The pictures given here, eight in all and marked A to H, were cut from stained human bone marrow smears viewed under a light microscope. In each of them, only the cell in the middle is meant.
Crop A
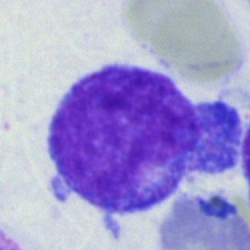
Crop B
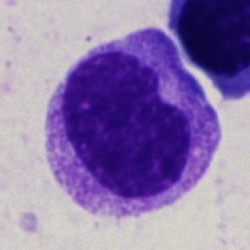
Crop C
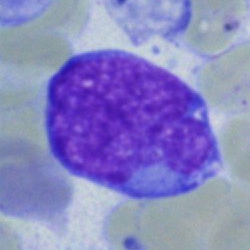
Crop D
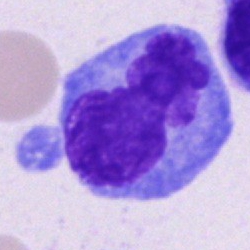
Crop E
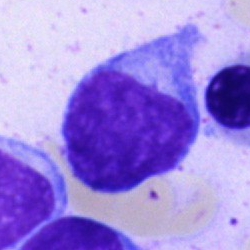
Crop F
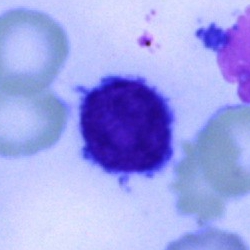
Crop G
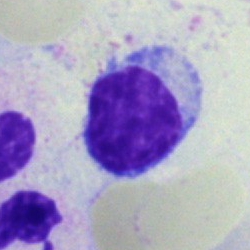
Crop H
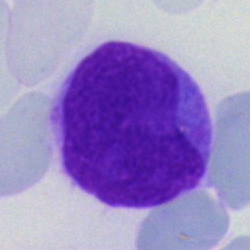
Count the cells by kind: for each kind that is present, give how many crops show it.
blast: 4
lymphocyte: 2
metamyelocyte: 1
plasma cell: 1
